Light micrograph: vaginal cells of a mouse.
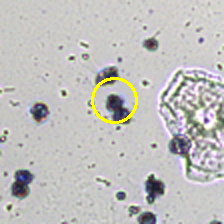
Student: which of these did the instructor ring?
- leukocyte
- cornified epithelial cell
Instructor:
The cell I ringed is a leukocyte.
